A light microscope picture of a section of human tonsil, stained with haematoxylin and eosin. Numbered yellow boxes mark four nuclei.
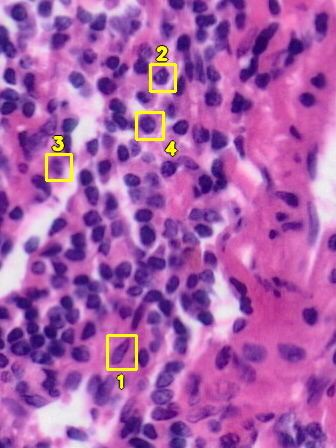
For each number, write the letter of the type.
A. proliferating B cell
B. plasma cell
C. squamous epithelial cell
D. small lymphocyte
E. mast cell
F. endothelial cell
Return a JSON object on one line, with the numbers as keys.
{"1": "F", "2": "B", "3": "F", "4": "B"}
